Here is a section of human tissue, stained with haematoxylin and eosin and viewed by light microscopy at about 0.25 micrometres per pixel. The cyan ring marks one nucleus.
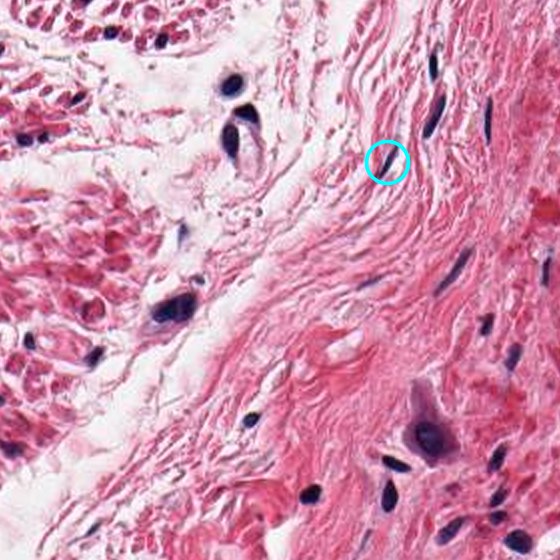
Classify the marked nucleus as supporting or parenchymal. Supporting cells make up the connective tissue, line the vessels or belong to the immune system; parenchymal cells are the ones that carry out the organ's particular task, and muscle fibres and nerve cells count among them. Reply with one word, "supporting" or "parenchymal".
supporting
